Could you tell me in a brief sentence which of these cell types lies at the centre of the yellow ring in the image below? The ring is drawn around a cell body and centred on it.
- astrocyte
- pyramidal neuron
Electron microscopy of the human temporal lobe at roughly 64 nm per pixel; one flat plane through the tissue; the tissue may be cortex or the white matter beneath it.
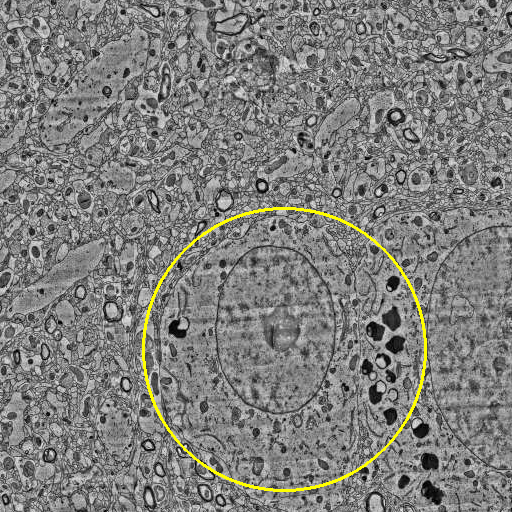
The cell centred in the ring is a pyramidal neuron.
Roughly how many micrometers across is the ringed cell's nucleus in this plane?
About 11 by 8 micrometers for the nucleus, in this plane.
